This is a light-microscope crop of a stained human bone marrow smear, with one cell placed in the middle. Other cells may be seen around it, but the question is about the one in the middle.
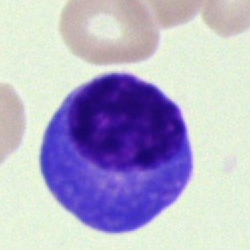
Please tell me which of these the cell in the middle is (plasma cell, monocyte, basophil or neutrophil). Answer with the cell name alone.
plasma cell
